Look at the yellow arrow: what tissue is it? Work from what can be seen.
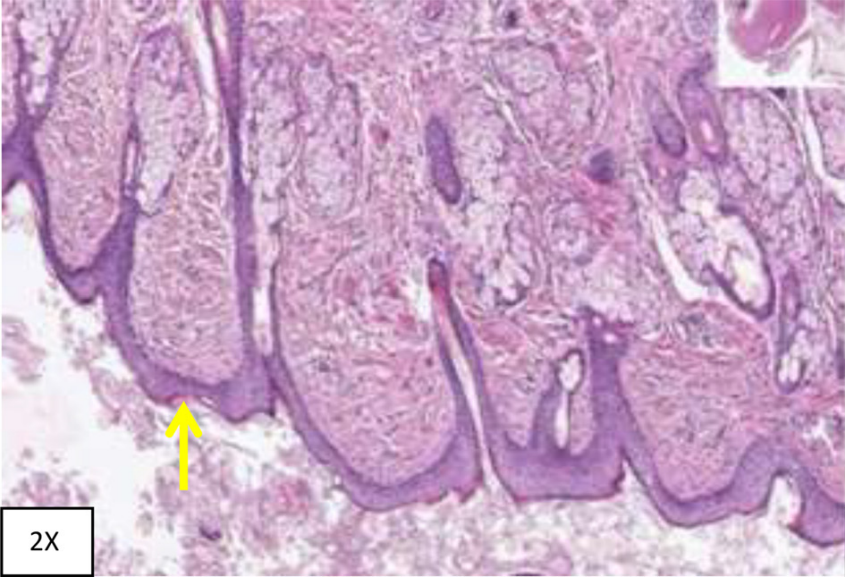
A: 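The arrow points to a dark purple, many-layered cell band lining the surface. Flaky pink material lies on the outer side of this band.
Answer: keratinized squamous epithelium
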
